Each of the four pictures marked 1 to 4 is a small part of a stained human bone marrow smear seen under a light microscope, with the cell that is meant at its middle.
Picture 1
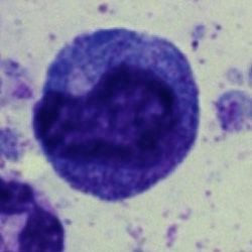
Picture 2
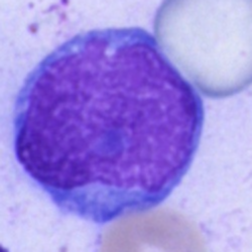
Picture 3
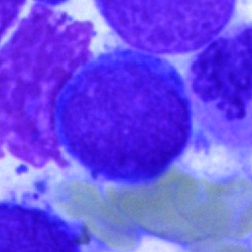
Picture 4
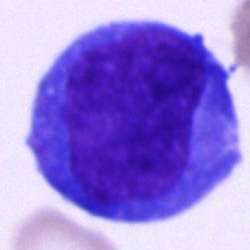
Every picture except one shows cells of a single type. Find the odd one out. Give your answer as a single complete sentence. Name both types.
Picture 1 differs, because its cell is a promyelocyte and the rest are blasts.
